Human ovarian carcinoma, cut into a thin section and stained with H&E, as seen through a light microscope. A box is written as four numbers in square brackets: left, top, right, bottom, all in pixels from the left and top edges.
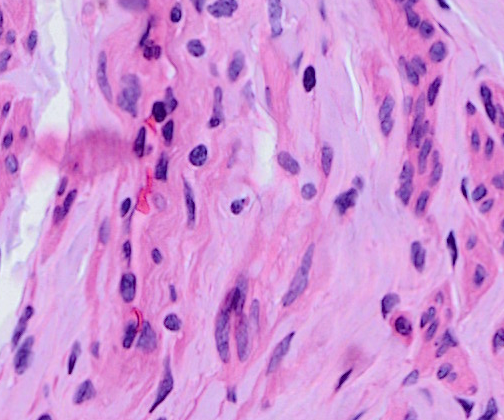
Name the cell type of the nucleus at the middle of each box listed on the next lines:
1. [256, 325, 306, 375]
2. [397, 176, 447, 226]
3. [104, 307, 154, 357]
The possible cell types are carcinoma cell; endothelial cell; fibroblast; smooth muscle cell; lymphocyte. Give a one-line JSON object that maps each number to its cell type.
{"1": "smooth muscle cell", "2": "smooth muscle cell", "3": "endothelial cell"}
